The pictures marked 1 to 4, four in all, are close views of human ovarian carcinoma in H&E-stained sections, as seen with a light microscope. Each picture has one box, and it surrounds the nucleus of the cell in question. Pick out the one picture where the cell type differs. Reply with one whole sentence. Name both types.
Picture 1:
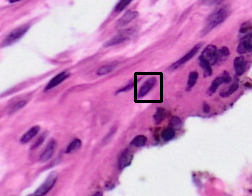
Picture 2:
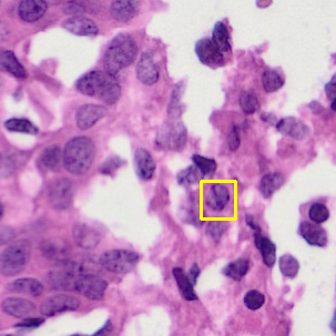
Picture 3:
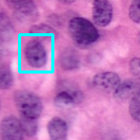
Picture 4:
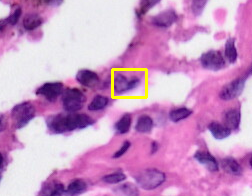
All pictures except 1 show “macrophages or monocytes”; picture 1 shows a fibroblast.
